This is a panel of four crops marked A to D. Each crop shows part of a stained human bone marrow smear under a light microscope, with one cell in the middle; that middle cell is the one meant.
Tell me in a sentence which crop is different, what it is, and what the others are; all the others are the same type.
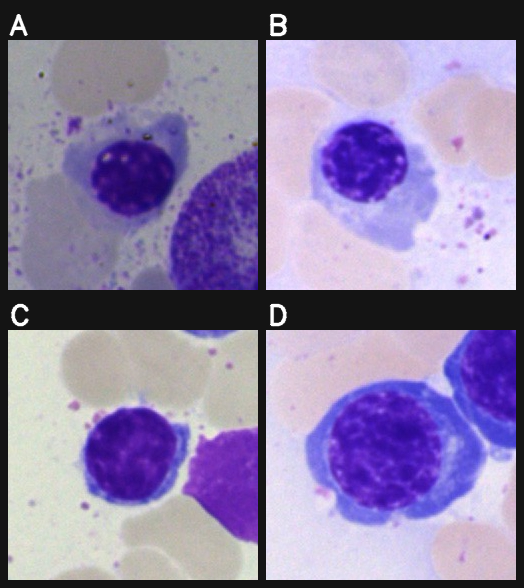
Only in crop C is there a lymphocyte; all other crops show normoblasts.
